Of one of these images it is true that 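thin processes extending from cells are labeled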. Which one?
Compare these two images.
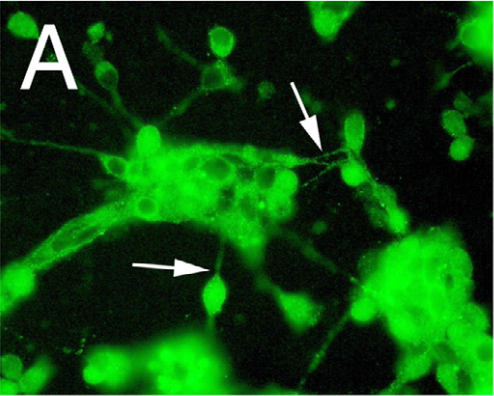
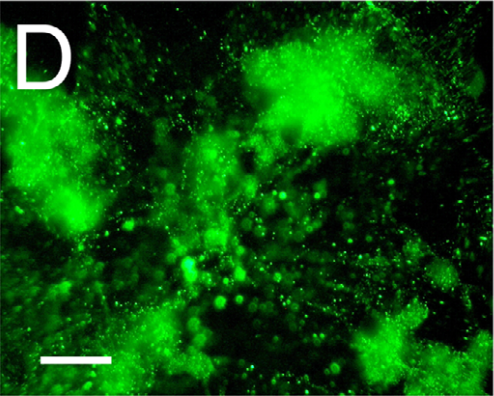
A: The first image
